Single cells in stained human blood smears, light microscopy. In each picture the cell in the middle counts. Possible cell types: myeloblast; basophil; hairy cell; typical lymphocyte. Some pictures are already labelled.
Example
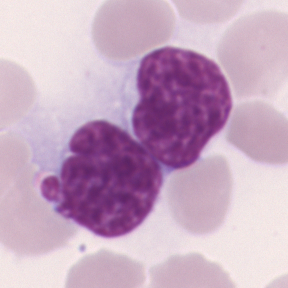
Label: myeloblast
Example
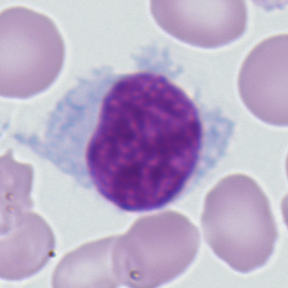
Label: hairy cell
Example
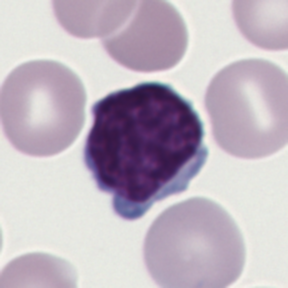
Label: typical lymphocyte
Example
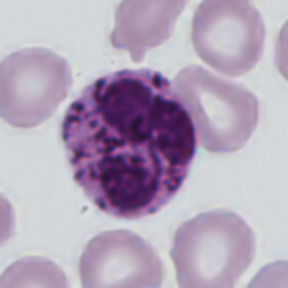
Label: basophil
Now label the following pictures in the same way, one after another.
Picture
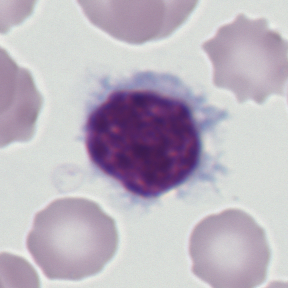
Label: hairy cell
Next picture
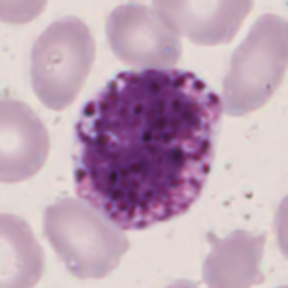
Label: basophil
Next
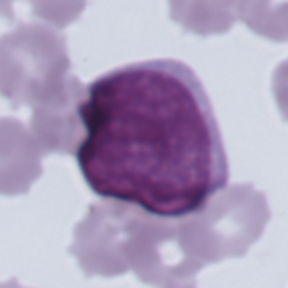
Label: myeloblast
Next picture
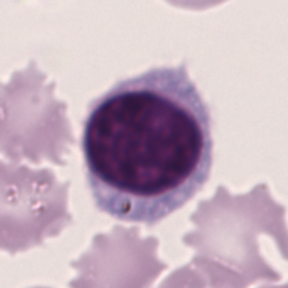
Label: hairy cell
